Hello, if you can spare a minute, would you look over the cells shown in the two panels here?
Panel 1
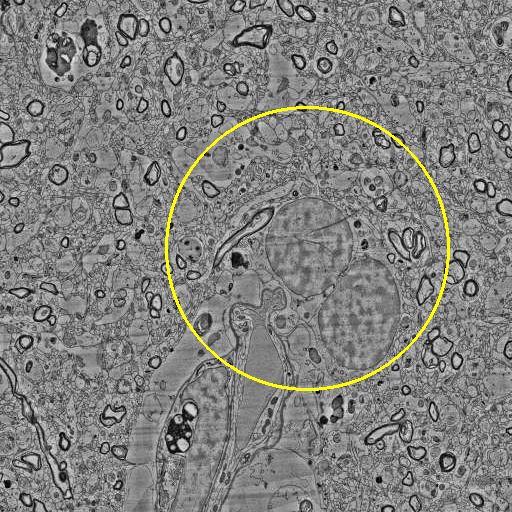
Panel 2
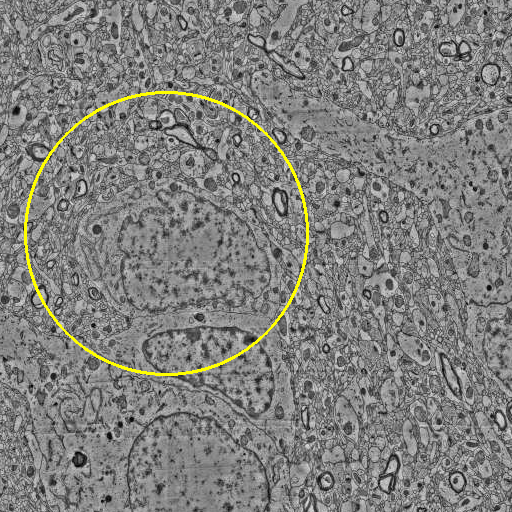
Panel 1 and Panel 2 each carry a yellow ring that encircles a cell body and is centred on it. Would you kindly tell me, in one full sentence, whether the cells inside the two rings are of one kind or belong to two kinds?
The cells at the centres of the rings in Panel 1 and Panel 2 belong to two kinds.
